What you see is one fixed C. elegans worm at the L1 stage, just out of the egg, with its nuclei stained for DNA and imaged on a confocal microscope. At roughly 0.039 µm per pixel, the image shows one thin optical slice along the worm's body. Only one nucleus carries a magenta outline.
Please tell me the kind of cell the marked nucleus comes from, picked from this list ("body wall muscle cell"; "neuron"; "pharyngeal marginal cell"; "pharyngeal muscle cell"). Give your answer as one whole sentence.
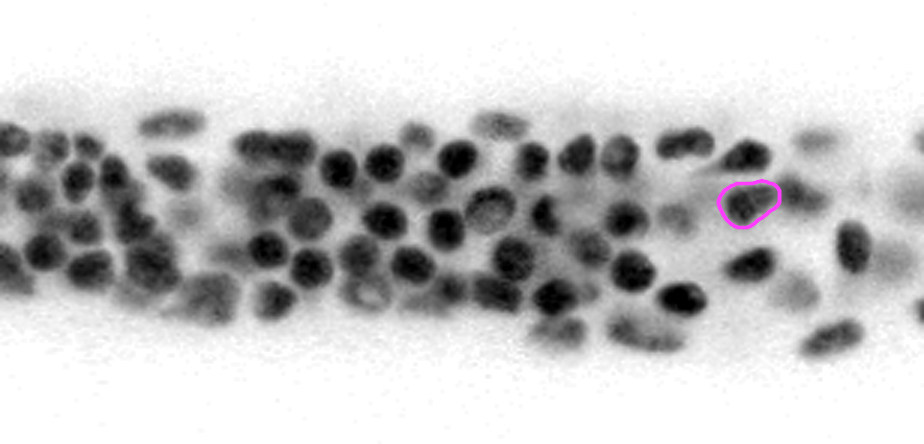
The cell with the marked nucleus is a pharyngeal muscle cell.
